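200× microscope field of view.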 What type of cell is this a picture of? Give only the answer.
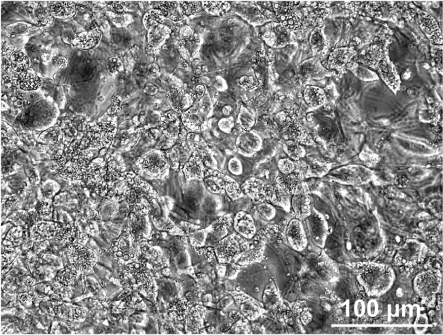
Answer: Adipocytes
